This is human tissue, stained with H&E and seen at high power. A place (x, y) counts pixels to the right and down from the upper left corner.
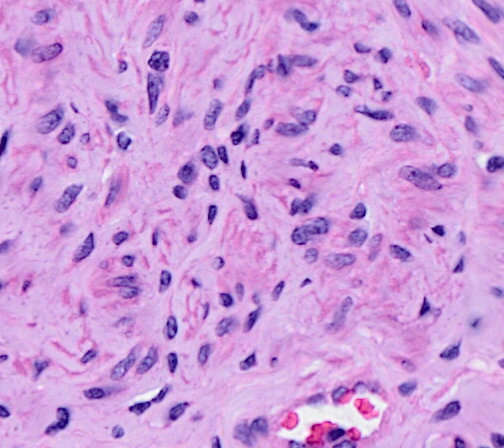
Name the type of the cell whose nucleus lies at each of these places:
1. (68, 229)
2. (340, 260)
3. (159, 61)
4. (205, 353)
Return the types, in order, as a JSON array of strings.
["smooth muscle cell", "smooth muscle cell", "lymphocyte", "smooth muscle cell"]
